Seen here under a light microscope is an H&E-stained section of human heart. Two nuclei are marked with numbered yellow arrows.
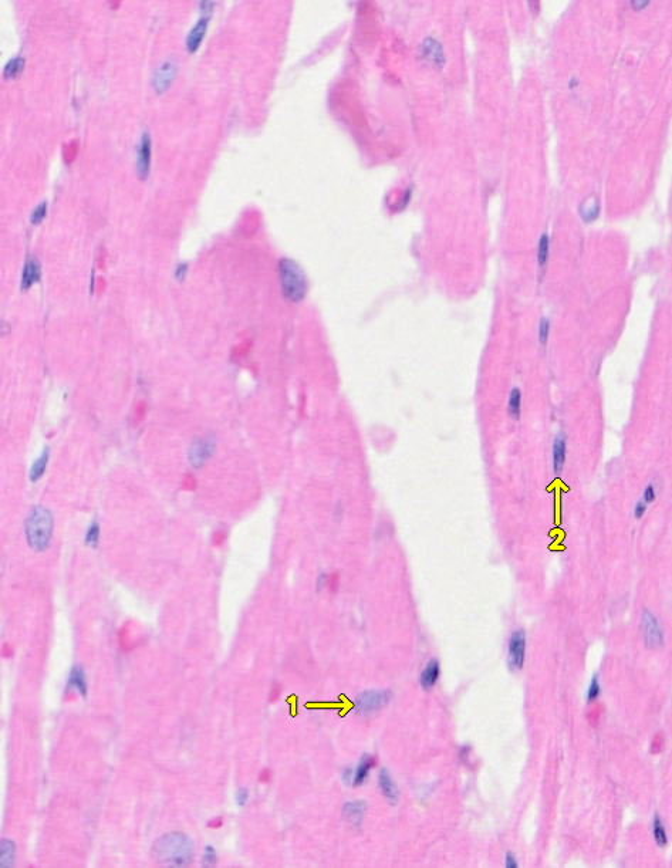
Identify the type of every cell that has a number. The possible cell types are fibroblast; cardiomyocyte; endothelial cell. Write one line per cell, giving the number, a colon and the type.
1: cardiomyocyte
2: endothelial cell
